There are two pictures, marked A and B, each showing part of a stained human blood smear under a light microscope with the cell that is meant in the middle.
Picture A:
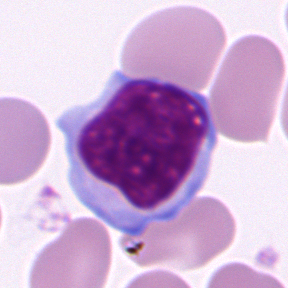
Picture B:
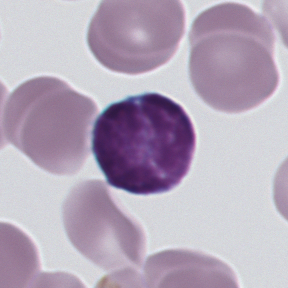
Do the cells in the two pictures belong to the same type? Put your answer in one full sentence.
Yes, both cells are typical lymphocytes.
